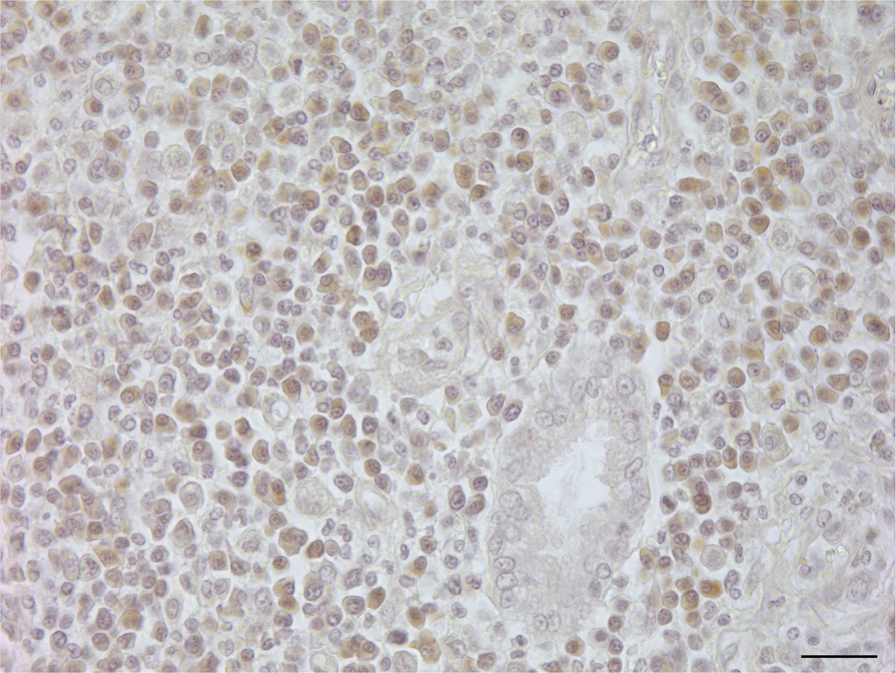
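This field is filled with sheets of lymphocytes, small round cells packed closely together. Many of them show a brown colour in the thin rim of cytoplasm around a round, blue-purple nucleus, while others stay pale. Among them lie scattered larger cells with pale, roomy cytoplasm and oval nuclei that carry no brown. Toward the lower middle a cluster of larger pale cells with oval nuclei surrounds an empty central space, and it stays unstained. Fine pale strands of connective tissue run between groups of cells in places.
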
